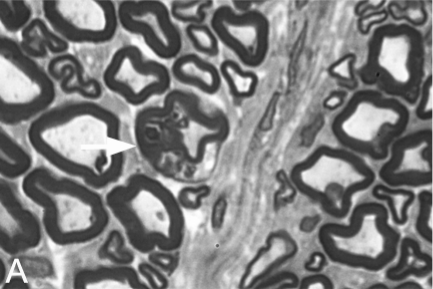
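This cross section of a peripheral nerve shows groups of myelinated axons, pale axons encircled by dark myelin rings of varying thickness and often irregular outline, with a band of pale, streaky connective tissue running through the middle. One fibre on the left stands apart, its myelin broken up into irregular dark clumps and folds in place of a smooth ring around a clear axon.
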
